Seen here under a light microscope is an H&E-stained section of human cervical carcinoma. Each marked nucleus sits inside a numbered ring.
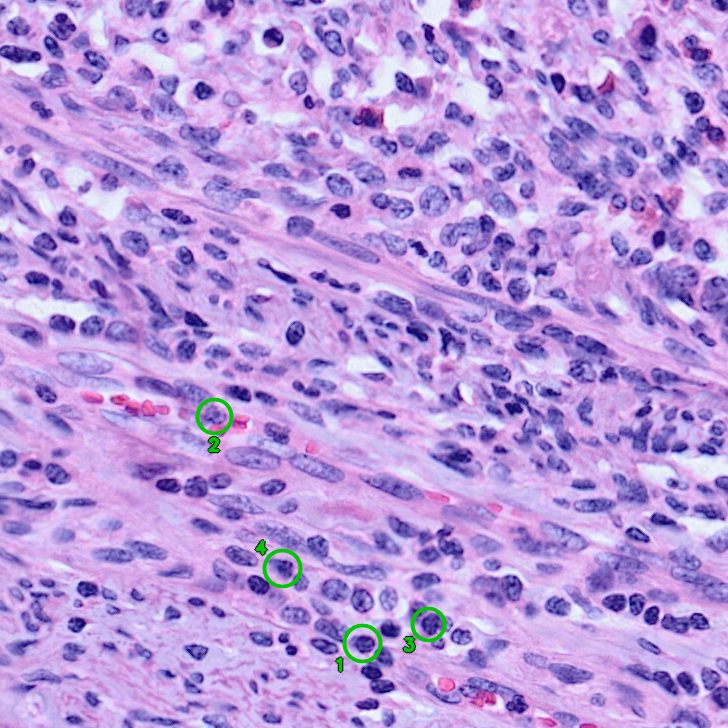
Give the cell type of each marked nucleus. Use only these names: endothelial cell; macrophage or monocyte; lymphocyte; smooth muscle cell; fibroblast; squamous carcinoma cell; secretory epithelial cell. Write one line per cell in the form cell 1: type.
cell 1: lymphocyte
cell 2: endothelial cell
cell 3: lymphocyte
cell 4: lymphocyte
